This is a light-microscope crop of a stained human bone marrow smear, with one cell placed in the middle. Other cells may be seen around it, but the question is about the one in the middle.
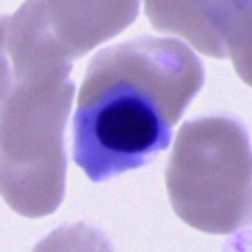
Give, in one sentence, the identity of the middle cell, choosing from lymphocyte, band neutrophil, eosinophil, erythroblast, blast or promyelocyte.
The middle of this crop is occupied by an erythroblast.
